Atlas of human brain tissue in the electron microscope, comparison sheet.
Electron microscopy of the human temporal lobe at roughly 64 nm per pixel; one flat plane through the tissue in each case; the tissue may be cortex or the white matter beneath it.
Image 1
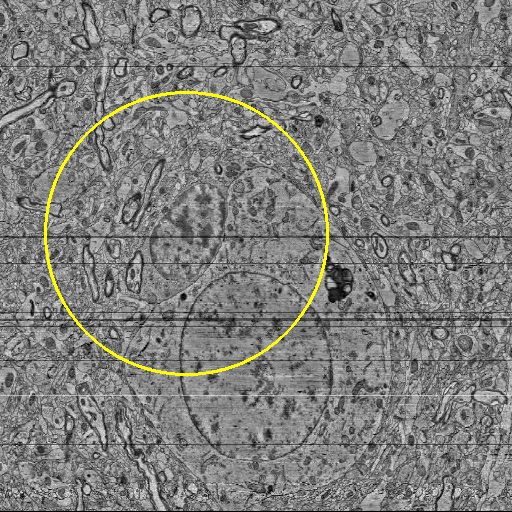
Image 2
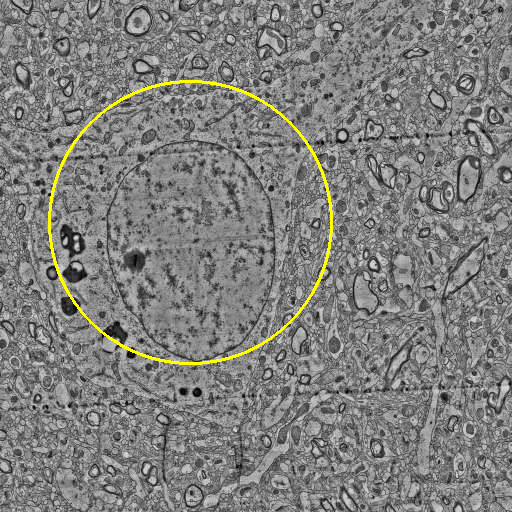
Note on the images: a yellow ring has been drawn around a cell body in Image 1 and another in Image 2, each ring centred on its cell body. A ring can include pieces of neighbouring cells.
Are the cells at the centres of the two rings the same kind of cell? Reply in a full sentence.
No, the two cells are of two kinds.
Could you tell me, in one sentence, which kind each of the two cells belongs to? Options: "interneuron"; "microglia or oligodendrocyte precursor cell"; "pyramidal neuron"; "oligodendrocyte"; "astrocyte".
At the centre of the first ring sits an oligodendrocyte, and at the centre of the second sits a pyramidal neuron.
